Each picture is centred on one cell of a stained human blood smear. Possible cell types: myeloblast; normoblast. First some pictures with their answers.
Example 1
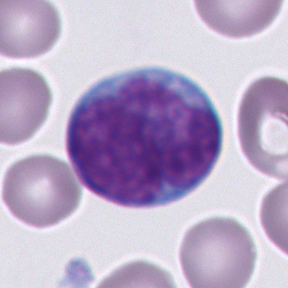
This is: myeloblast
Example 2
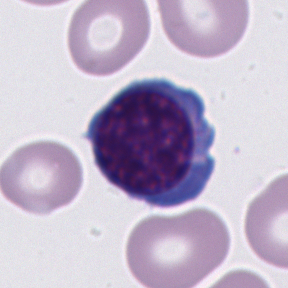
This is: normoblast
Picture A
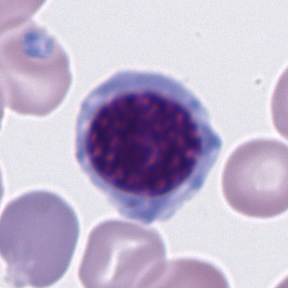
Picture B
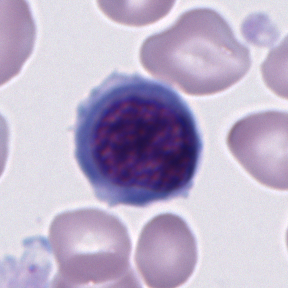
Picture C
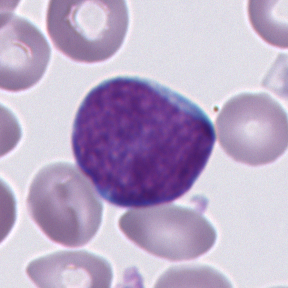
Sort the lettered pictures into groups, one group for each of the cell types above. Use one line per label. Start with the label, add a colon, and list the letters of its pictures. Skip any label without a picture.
myeloblast: C
normoblast: A, B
